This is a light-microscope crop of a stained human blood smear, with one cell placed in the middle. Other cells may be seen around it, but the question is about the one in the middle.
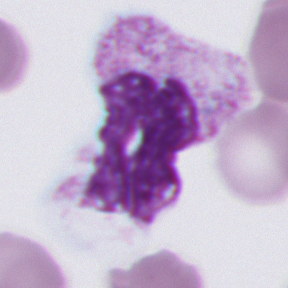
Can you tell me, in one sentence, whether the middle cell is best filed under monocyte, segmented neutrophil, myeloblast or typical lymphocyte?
In the middle of this smear crop is a segmented neutrophil.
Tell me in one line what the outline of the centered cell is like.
Irregularity marks the cell border, whether as raggedness or as projections.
